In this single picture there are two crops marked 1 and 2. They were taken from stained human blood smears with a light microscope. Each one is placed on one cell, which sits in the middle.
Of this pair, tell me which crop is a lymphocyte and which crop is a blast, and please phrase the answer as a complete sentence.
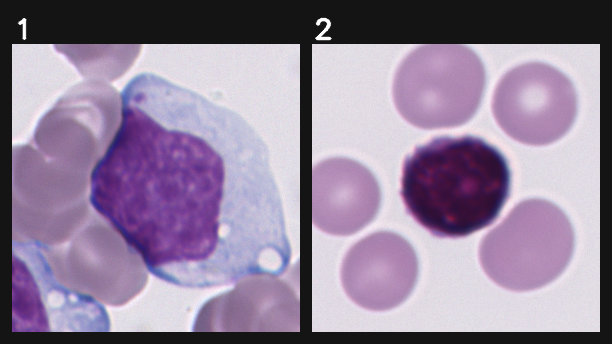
In crop 1 there is a blast, and in crop 2 there is a lymphocyte.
